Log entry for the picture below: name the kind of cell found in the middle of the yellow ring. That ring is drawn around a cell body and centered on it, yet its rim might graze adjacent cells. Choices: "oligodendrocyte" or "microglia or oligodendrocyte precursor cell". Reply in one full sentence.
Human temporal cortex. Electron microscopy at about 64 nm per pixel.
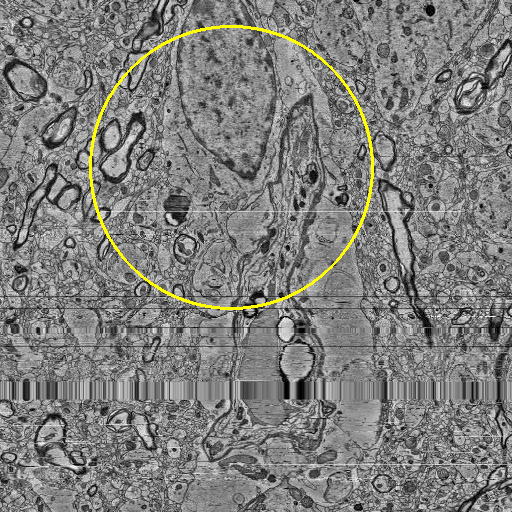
The cell in the middle of the yellow ring in this picture is a microglial cell or oligodendrocyte precursor cell.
